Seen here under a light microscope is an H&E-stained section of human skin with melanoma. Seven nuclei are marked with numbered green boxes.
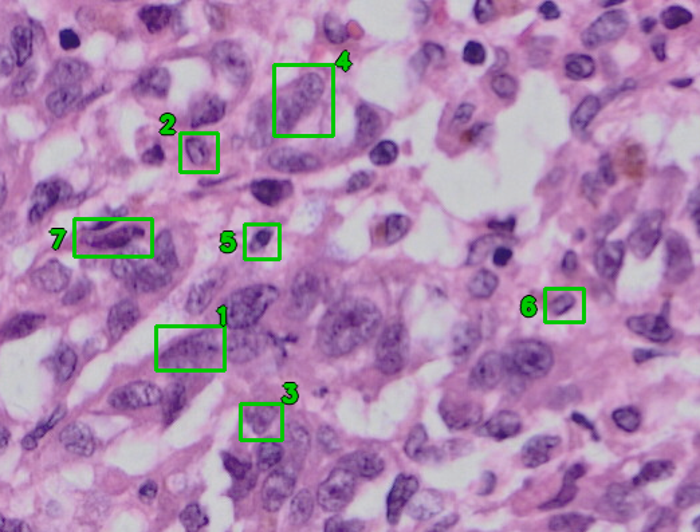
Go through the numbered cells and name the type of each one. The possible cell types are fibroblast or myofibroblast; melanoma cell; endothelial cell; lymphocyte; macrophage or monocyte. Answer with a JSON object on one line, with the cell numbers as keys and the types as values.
{"1": "melanoma cell", "2": "macrophage or monocyte", "3": "melanoma cell", "4": "melanoma cell", "5": "lymphocyte", "6": "macrophage or monocyte", "7": "melanoma cell"}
